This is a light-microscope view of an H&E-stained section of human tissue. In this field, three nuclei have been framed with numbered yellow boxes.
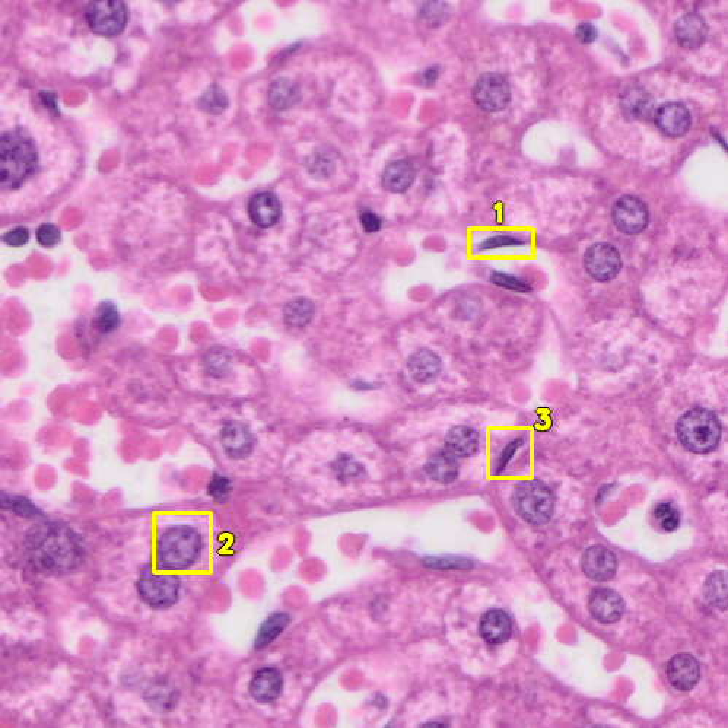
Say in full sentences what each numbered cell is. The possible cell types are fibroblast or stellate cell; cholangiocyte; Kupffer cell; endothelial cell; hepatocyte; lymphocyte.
Cell 1 is an endothelial cell. Cell 2 is a hepatocyte. Cell 3 is a fibroblast or stellate cell.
